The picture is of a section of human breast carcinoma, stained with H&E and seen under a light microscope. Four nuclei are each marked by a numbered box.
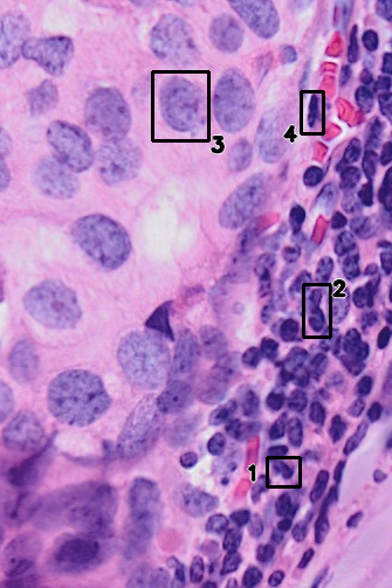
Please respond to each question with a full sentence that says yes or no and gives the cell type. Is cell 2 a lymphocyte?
Yes, looking at number 2, that cell is a lymphocyte.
